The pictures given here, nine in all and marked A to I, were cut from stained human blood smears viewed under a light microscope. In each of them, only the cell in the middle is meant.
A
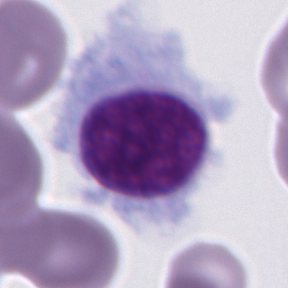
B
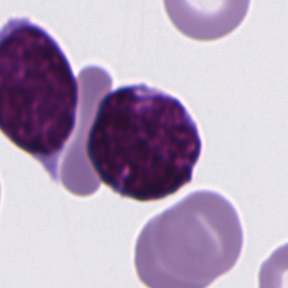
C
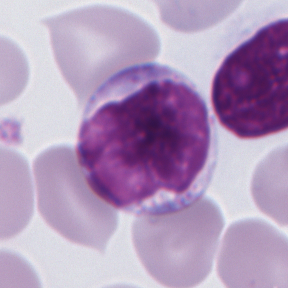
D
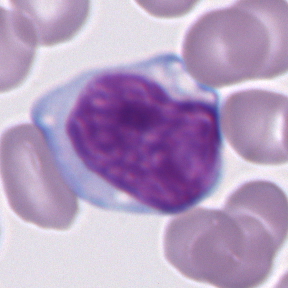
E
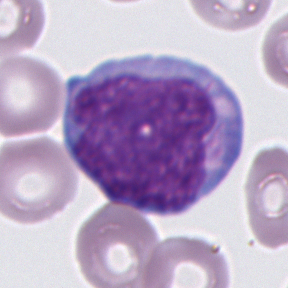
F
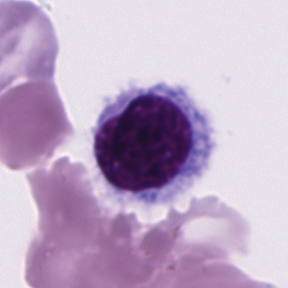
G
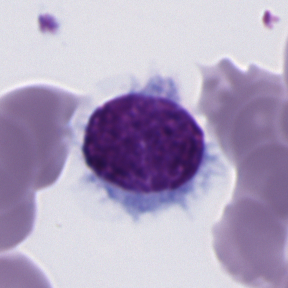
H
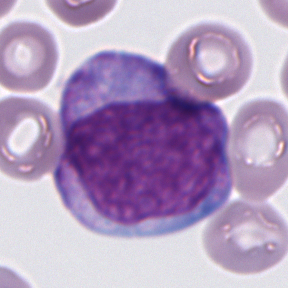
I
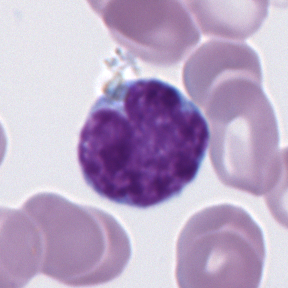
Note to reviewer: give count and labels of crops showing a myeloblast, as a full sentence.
Altogether, crops B, D and I show myeloblasts, giving three crops.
